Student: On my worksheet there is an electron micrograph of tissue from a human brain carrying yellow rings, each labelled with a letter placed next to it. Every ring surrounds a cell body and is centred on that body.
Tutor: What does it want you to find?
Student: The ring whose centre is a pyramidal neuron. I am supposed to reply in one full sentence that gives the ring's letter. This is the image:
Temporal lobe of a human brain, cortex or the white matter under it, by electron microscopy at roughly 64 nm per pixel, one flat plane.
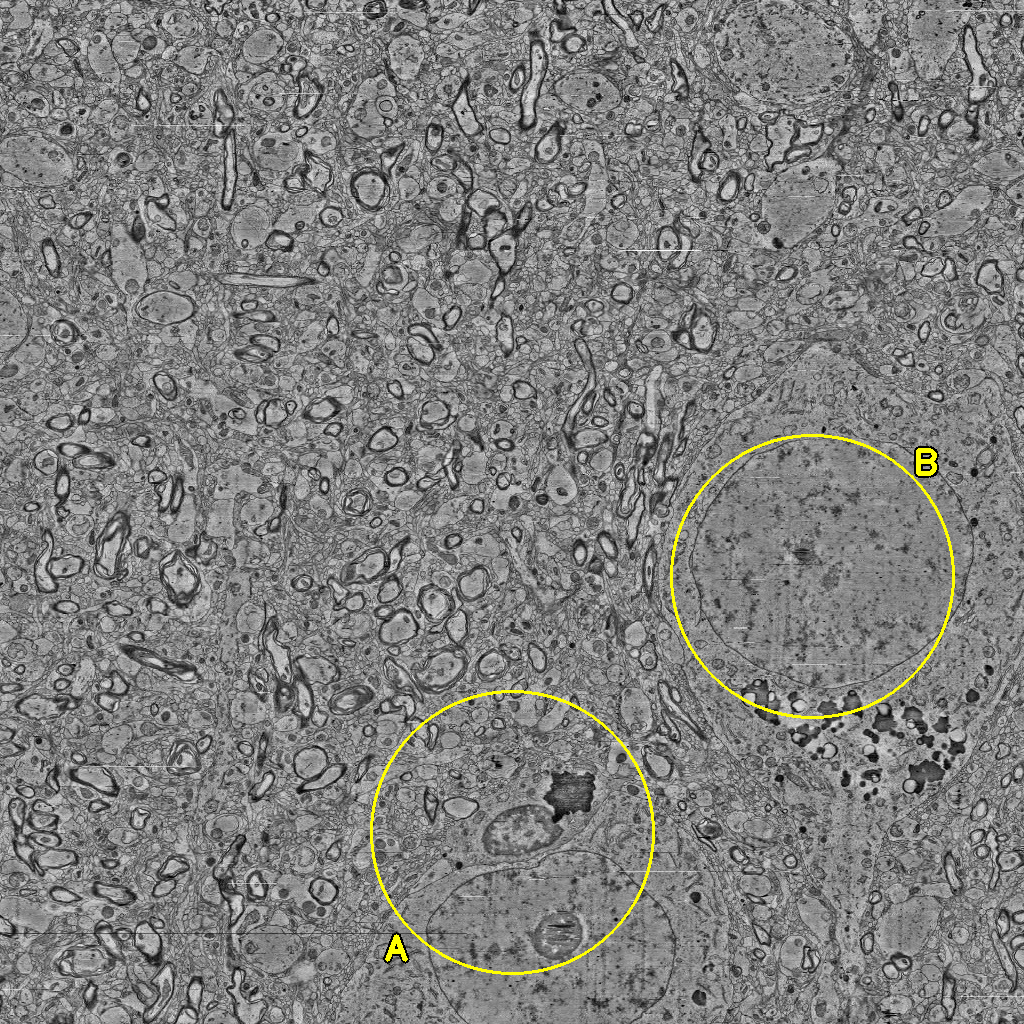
The cell asked for, shown in the picture, lies at the centre of ring B.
